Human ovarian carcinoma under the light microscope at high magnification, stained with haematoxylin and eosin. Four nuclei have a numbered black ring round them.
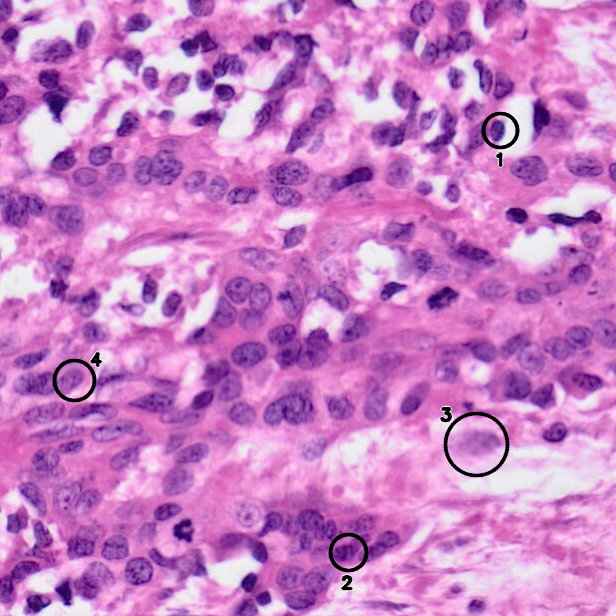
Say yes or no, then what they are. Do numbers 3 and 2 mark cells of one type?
No, cell 3 is a fibroblast and cell 2 is a carcinoma cell.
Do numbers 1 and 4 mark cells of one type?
Yes, both are carcinoma cells.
